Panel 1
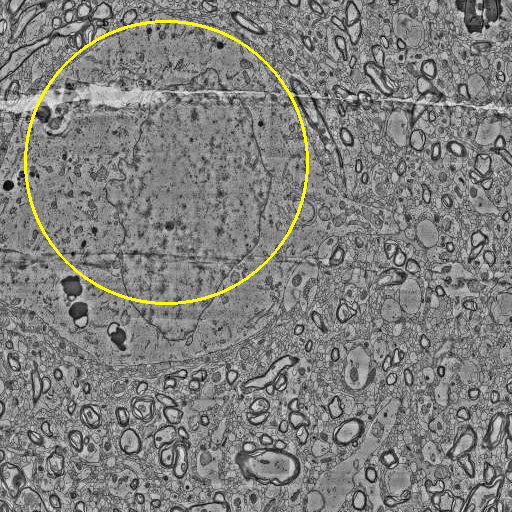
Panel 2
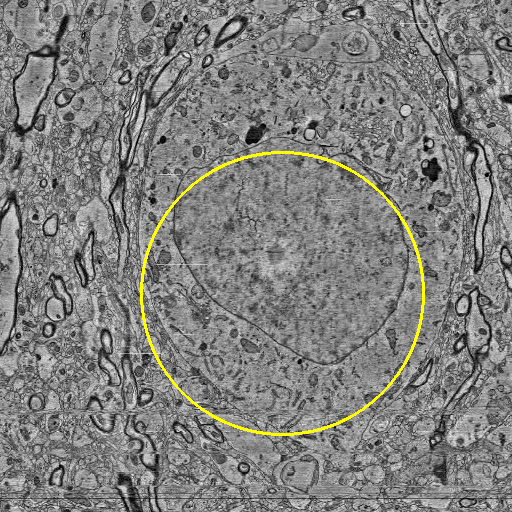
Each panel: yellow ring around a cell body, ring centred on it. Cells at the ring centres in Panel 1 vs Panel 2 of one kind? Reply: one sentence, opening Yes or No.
Yes, Panel 1 and Panel 2 have cells of one kind at the ring centres.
